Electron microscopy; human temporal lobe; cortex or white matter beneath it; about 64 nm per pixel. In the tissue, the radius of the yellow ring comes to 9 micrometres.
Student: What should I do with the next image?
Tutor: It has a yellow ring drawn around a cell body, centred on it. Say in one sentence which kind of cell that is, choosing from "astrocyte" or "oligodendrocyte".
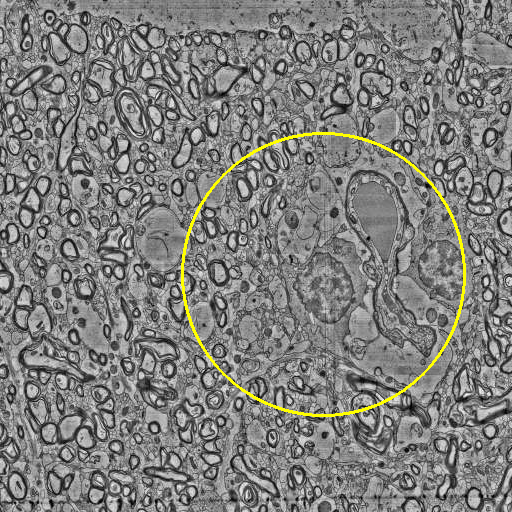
The ring's centre is occupied by an oligodendrocyte.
